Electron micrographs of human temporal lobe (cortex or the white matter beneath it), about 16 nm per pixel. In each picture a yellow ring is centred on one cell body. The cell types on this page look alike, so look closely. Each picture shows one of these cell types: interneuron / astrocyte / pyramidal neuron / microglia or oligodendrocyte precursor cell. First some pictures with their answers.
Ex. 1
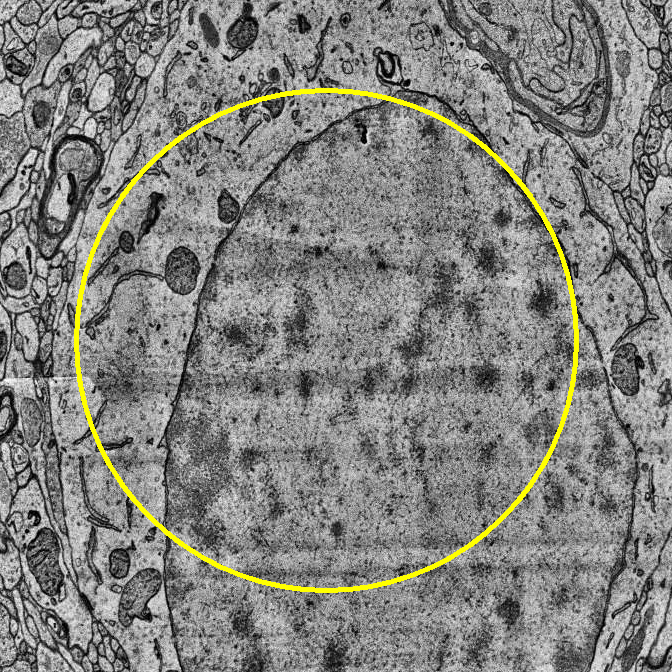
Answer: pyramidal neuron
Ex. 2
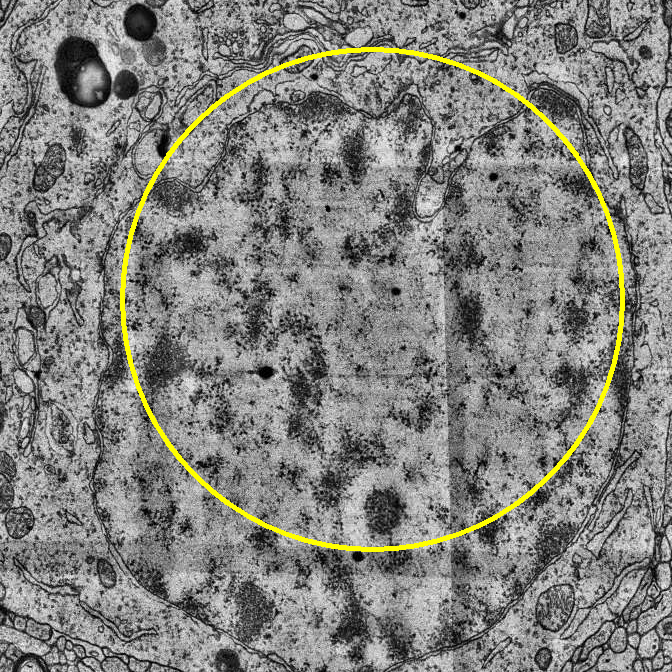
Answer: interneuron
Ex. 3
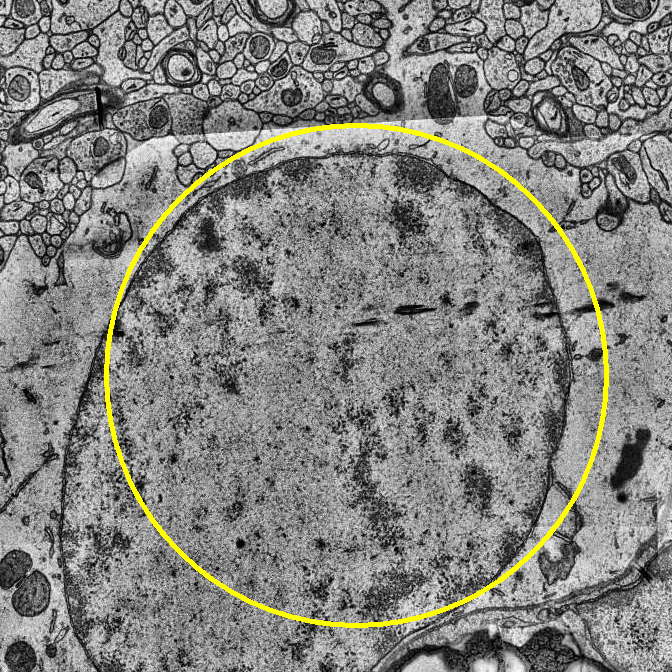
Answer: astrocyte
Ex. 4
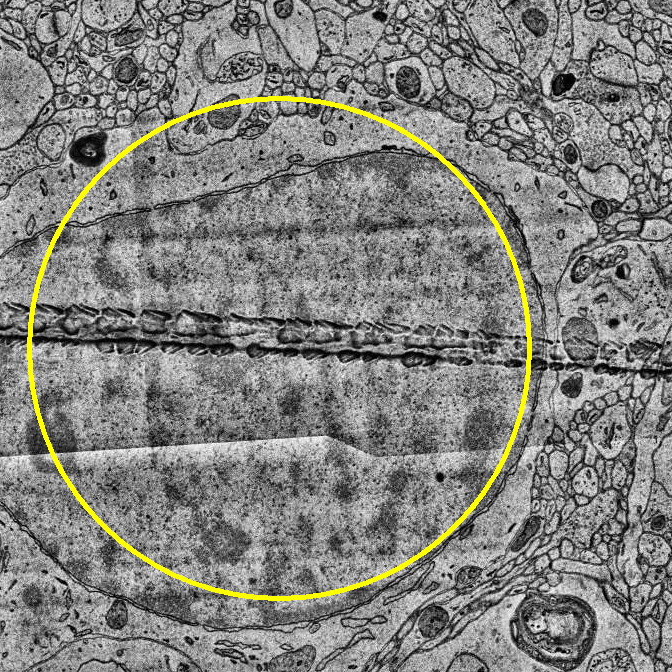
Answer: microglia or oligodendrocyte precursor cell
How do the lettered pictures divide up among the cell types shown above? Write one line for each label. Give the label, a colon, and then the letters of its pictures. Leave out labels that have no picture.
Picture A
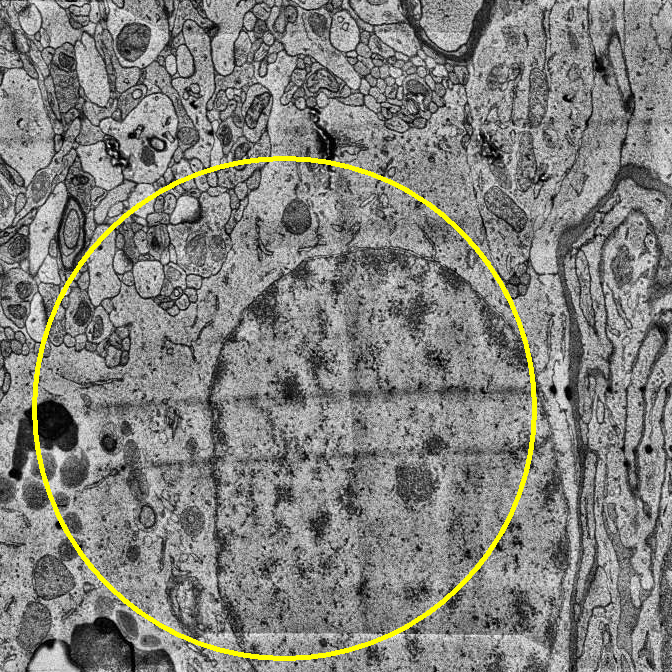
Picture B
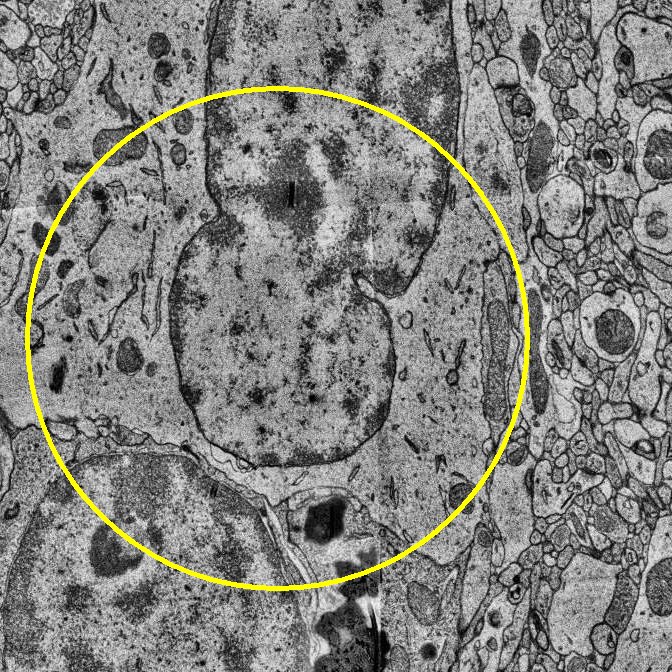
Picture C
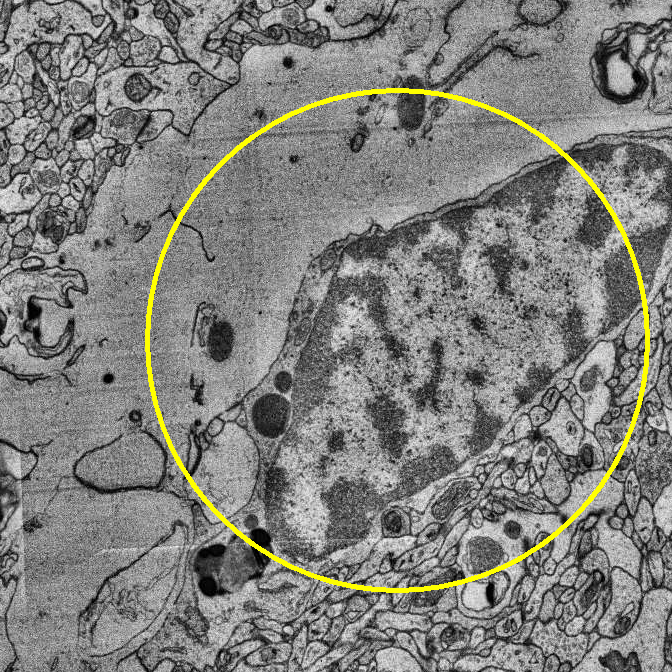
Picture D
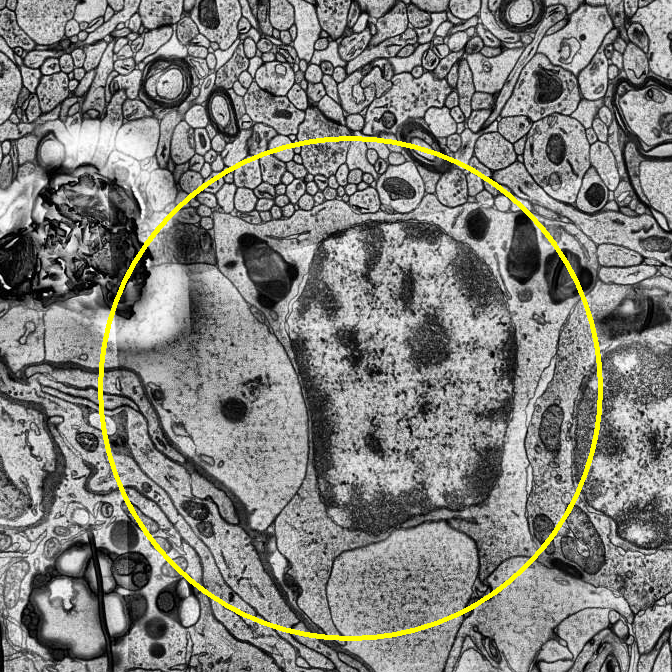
astrocyte: A
microglia or oligodendrocyte precursor cell: B, C, D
